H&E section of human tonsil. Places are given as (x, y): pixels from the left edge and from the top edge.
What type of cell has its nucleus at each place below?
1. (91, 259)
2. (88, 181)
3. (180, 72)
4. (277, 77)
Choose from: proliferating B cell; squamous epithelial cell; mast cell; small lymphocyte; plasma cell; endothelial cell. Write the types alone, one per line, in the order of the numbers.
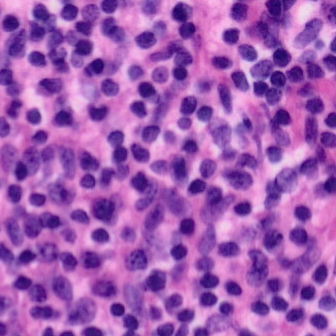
plasma cell
small lymphocyte
small lymphocyte
small lymphocyte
